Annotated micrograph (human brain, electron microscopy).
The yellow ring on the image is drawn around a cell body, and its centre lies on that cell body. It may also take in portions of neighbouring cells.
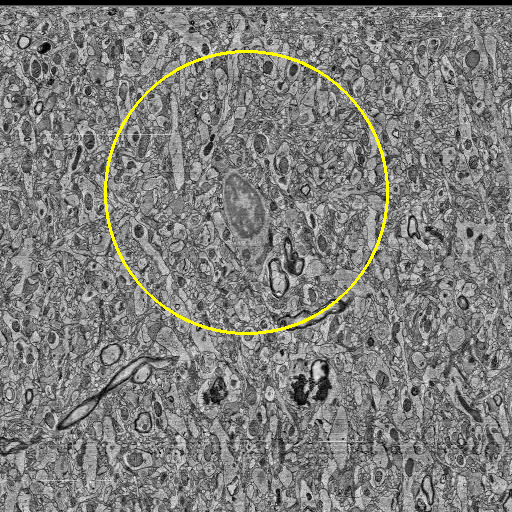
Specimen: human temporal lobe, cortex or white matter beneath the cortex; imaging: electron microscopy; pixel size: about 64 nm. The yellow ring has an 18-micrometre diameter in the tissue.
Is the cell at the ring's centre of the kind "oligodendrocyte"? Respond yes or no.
Yes, it is of the named kind.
